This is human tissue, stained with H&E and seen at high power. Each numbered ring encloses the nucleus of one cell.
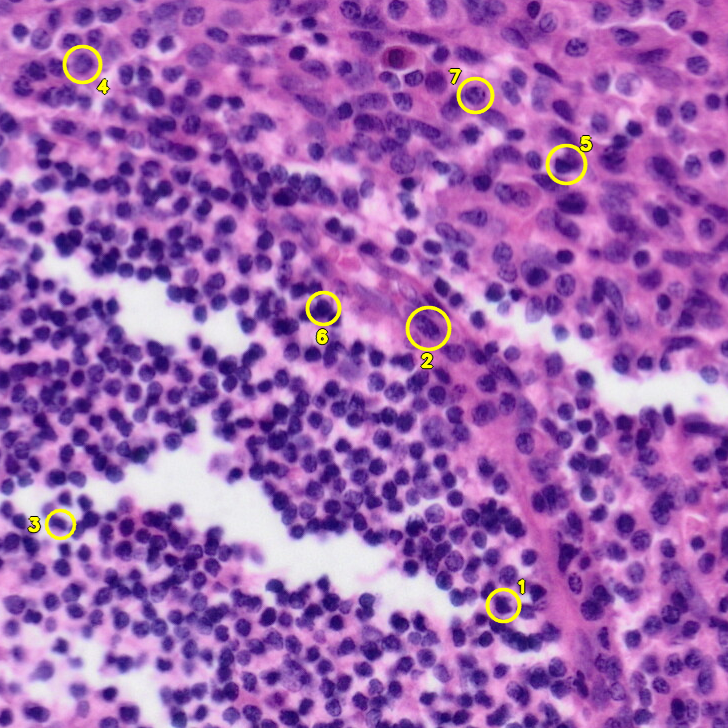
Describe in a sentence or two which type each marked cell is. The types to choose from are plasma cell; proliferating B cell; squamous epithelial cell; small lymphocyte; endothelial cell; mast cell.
Cell 1 is a small lymphocyte, cell 2 is an endothelial cell, cell 3 is a small lymphocyte, cell 4 is a plasma cell, cell 5 is a squamous epithelial cell, cell 6 is a small lymphocyte and cell 7 is a plasma cell.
